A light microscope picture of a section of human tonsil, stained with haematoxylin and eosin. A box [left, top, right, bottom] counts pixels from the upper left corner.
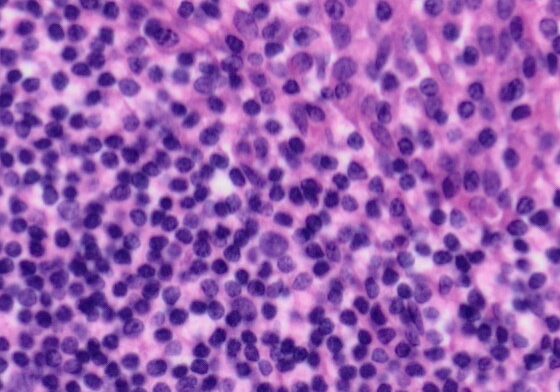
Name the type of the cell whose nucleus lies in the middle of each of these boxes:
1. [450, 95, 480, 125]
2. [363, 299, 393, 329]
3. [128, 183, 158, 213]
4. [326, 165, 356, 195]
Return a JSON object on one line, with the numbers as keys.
{"1": "plasma cell", "2": "small lymphocyte", "3": "small lymphocyte", "4": "small lymphocyte"}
